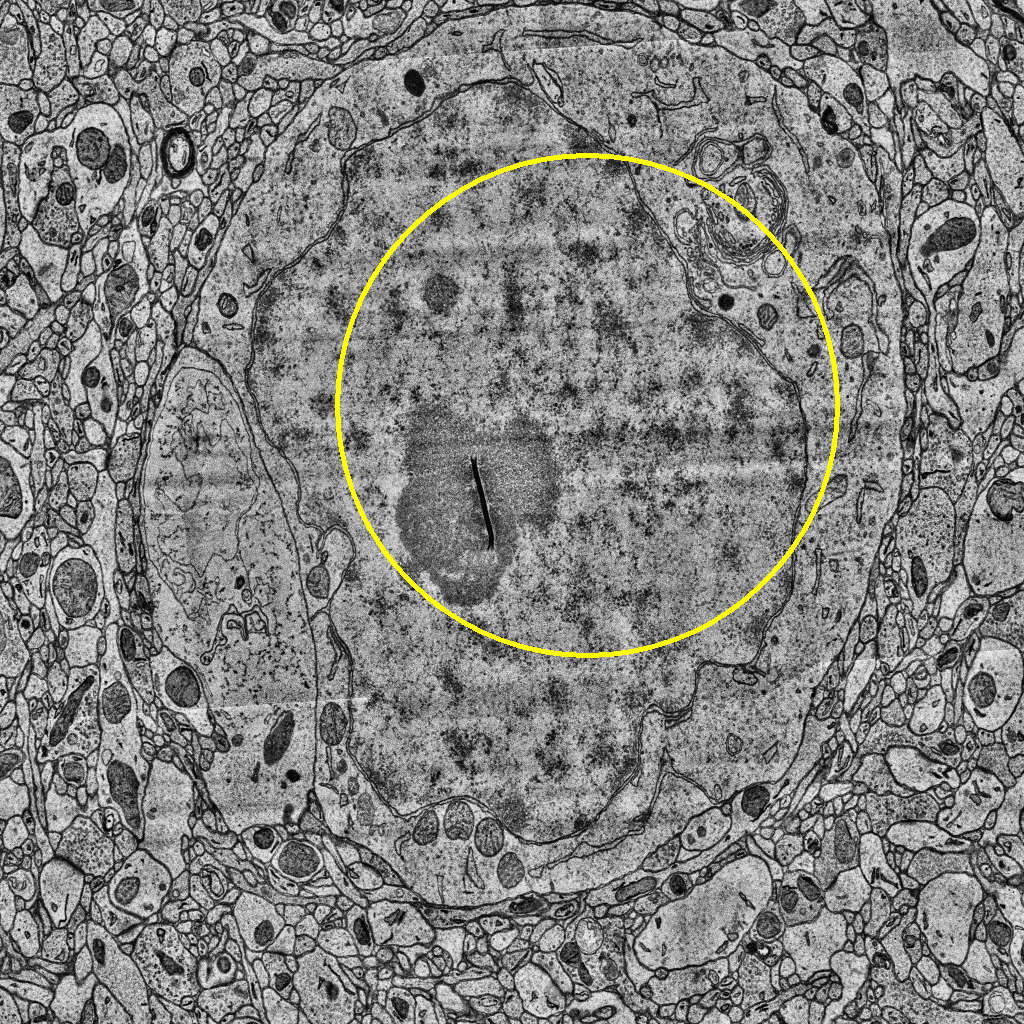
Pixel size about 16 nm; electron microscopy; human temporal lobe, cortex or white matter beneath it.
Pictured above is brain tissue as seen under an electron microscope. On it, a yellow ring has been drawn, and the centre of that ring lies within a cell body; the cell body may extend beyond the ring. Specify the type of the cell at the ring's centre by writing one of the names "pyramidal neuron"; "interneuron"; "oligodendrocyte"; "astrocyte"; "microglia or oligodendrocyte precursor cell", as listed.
interneuron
